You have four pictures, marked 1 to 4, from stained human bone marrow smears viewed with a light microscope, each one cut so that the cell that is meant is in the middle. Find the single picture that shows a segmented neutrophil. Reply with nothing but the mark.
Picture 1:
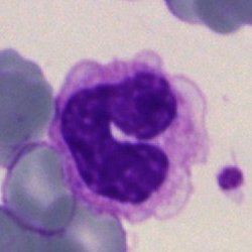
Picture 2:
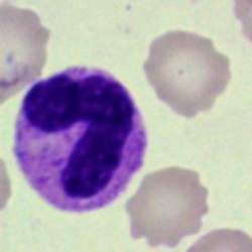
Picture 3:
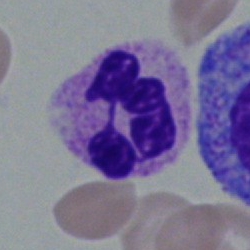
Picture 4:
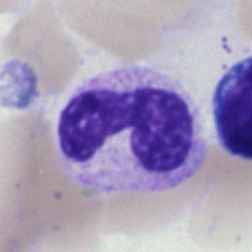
3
